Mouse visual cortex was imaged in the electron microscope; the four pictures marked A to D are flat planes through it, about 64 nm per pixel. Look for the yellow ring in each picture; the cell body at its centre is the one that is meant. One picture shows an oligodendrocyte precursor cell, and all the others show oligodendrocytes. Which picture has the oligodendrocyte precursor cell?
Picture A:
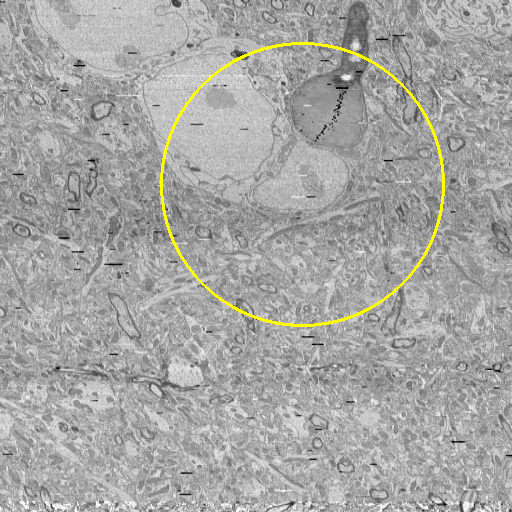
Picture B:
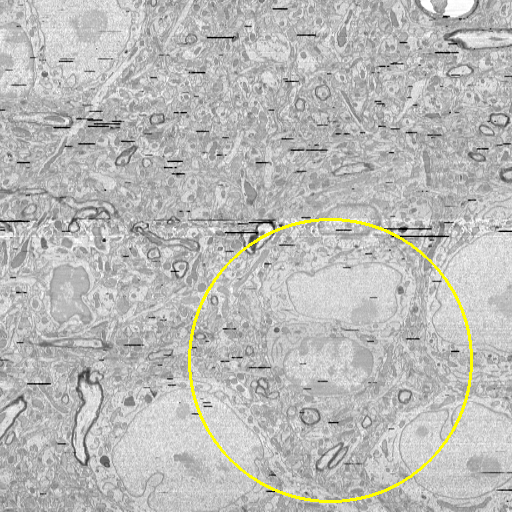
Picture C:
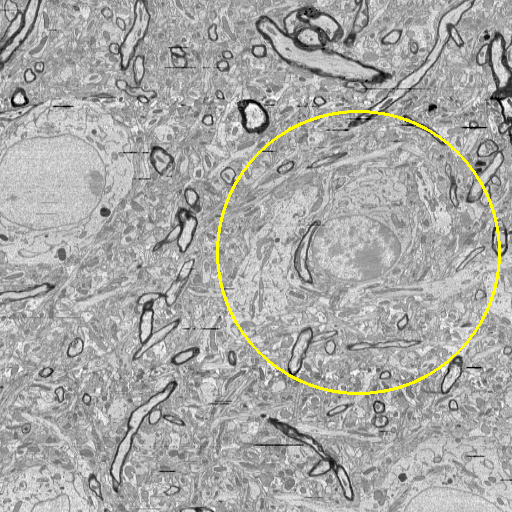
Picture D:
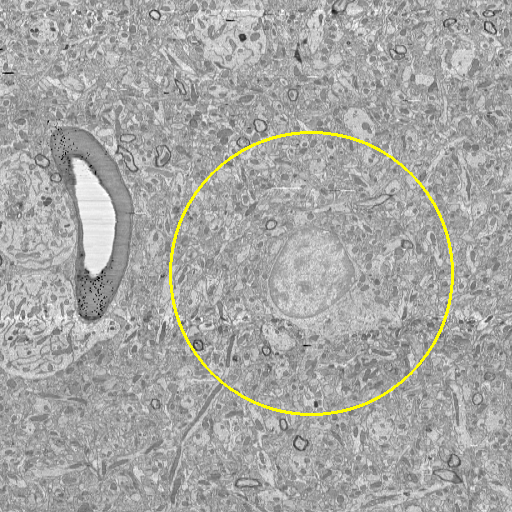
The picture with the oligodendrocyte precursor cell is A.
